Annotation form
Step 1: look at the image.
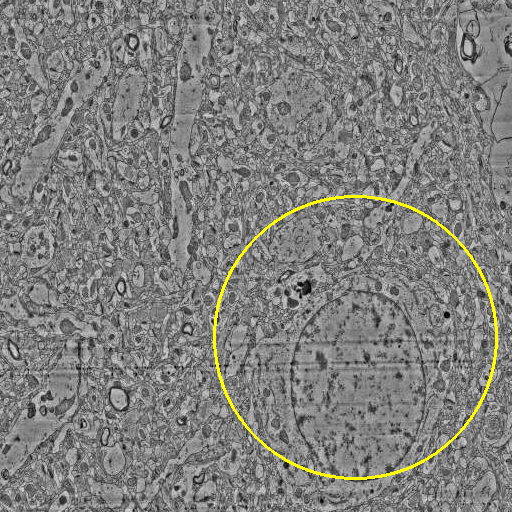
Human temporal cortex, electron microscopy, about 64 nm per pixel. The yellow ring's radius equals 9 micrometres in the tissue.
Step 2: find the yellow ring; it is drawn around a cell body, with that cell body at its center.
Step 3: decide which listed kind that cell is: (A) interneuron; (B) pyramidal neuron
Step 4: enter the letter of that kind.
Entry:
B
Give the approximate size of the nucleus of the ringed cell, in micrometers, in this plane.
The nucleus measures about 12 by 9 micrometres in this plane.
